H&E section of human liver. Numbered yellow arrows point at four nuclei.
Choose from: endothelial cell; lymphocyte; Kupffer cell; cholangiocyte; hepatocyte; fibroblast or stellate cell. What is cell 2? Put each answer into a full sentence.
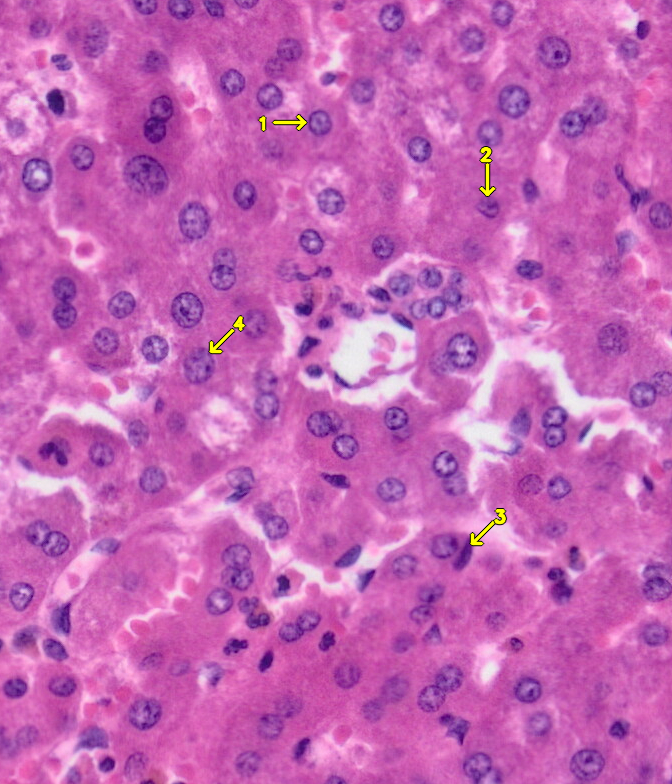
The cell indicated with the number 2 is classed as a hepatocyte.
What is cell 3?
Here, the cell given the number 3 is a fibroblast or stellate cell.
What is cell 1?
Cell 1 is classified as a hepatocyte.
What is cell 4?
The cell that carries the label 4 is a hepatocyte.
